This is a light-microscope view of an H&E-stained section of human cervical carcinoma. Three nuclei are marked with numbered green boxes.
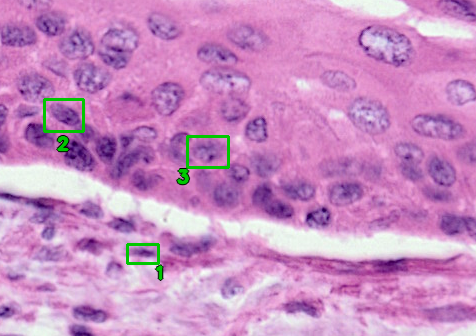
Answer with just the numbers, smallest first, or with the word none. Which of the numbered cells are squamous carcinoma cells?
2, 3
